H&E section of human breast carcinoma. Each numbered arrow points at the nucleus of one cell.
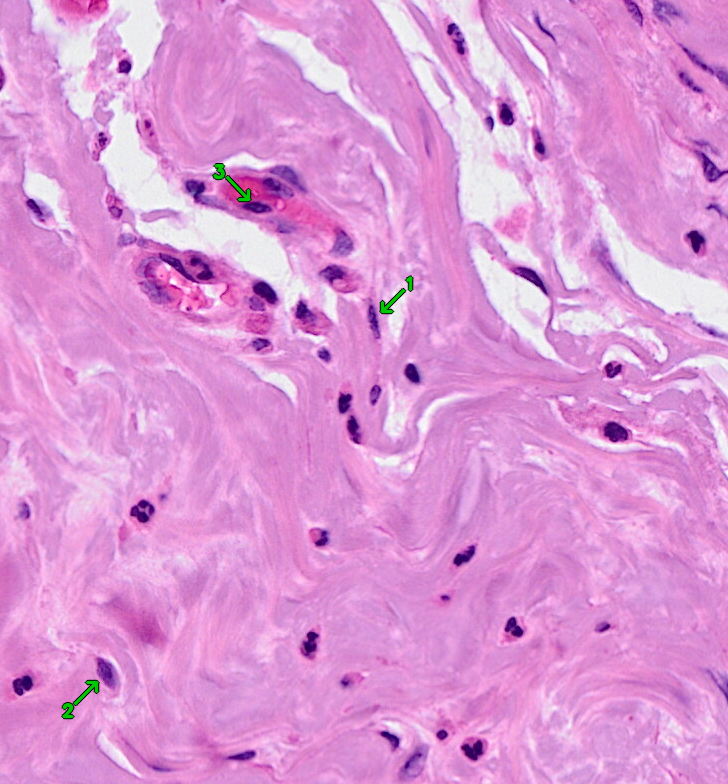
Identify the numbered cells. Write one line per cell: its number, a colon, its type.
1: fibroblast
2: fibroblast
3: endothelial cell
